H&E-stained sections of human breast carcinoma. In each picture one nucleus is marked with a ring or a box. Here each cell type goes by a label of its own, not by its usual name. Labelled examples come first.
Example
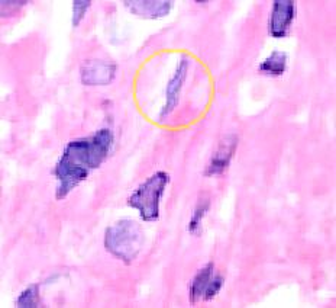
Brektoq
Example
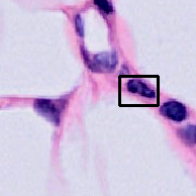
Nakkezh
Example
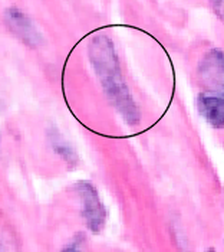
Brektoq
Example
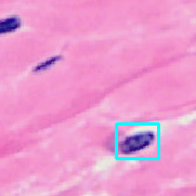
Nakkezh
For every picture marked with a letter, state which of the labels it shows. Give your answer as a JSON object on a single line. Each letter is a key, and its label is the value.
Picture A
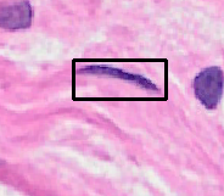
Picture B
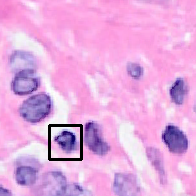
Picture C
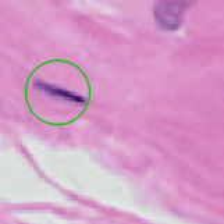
{"A": "Brektoq", "B": "Nakkezh", "C": "Brektoq"}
